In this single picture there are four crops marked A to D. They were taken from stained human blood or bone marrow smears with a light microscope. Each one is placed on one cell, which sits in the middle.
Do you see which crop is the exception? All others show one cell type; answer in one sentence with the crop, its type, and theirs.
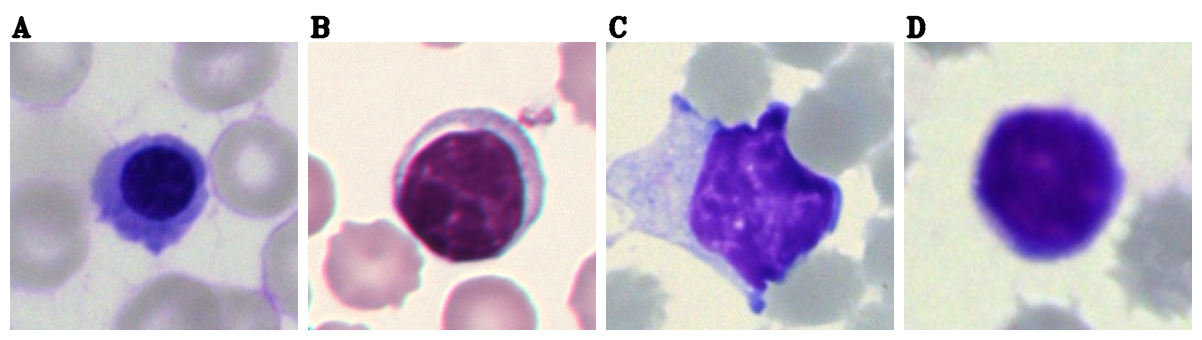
Crop A is the different one, an erythroblast, while the rest are lymphocytes.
